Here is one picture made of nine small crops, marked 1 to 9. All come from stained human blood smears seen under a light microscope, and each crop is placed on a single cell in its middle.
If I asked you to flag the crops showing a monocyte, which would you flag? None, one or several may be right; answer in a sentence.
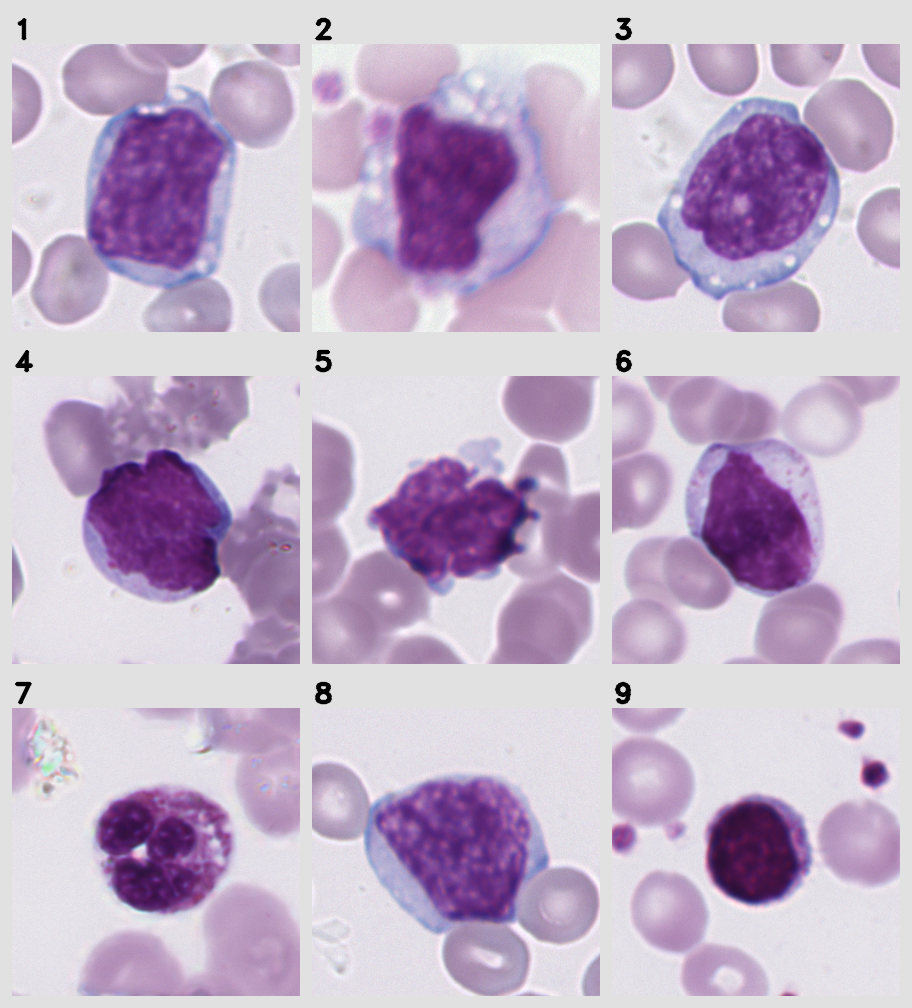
No crop except crop 2 shows a monocyte.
